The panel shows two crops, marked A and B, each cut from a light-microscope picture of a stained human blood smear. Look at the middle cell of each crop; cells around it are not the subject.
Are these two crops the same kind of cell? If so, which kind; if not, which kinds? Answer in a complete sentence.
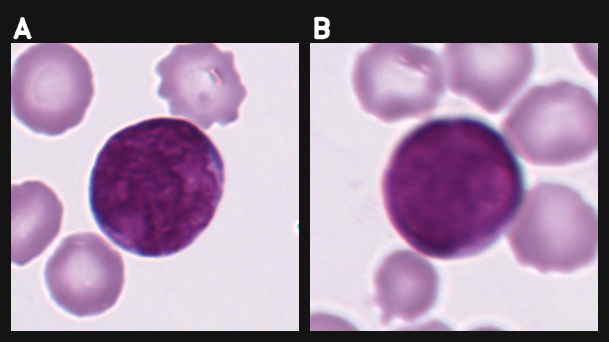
Yes, blasts are centred in both crops.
